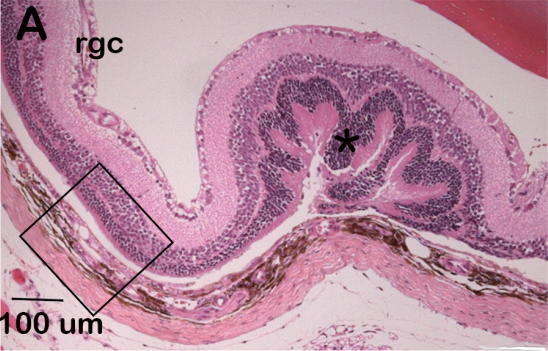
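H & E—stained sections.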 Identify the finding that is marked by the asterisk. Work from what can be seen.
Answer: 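Retinal detachment and fold. At the asterisk the retinal layers buckle inward into a convoluted fold. The folded retina is lifted away from the pigmented layer beneath it.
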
